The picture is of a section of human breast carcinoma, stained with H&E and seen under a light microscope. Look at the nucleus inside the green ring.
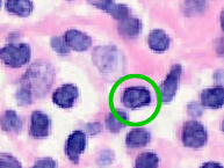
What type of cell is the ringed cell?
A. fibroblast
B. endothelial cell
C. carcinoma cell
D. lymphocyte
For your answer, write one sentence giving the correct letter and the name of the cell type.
The correct option is D, as the ringed cell is a lymphocyte.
